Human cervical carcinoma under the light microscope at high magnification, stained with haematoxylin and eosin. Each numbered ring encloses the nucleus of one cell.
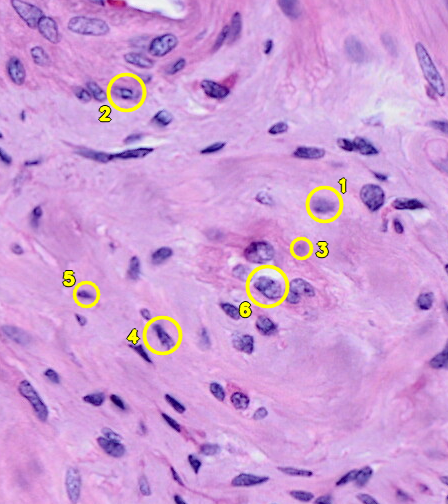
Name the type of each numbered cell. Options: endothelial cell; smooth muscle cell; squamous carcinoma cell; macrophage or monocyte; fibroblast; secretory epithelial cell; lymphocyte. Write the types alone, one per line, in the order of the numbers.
fibroblast
smooth muscle cell
smooth muscle cell
fibroblast
fibroblast
endothelial cell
